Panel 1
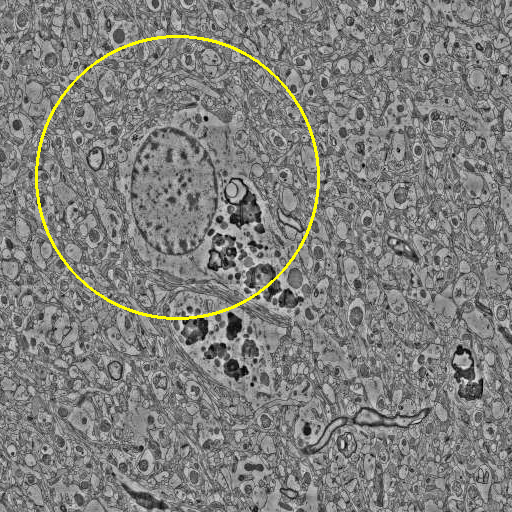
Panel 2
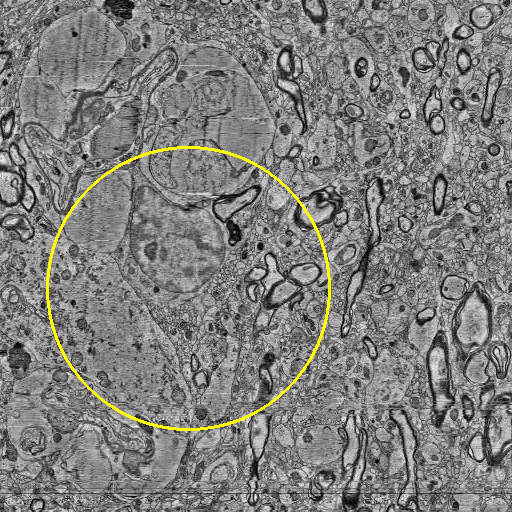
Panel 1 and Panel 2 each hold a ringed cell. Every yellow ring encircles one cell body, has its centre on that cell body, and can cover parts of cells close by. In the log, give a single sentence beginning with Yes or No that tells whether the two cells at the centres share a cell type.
No, in Panel 1 and Panel 2 the centred cells are of two cell types.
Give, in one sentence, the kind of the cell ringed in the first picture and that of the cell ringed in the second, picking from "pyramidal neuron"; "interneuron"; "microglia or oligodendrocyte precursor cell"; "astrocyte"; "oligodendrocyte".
For the first picture it is an astrocyte; for the second, an oligodendrocyte.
